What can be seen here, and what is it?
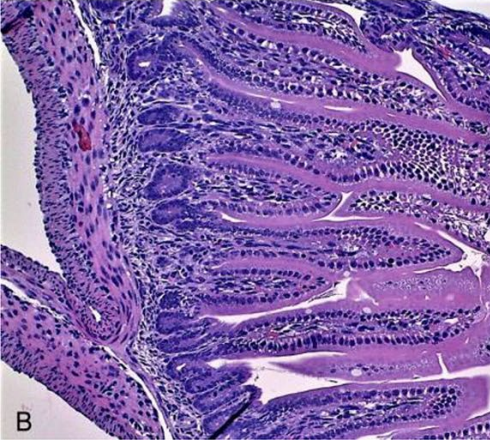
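Intestinal wall with long, parallel villi lined by pink columnar epithelium with basal purple nuclei. Crypts lie at the bases of the villi within a cellular lamina propria. At the left edge a thick band of pink smooth muscle with elongated nuclei forms the outer wall.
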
